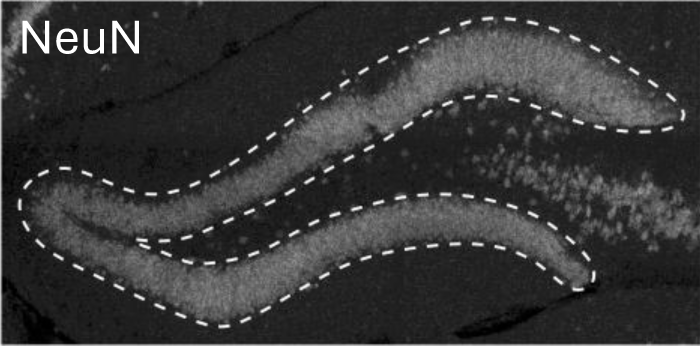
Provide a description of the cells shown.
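A curved band of tightly packed, small, evenly sized grey nuclei runs across the field in two blades that meet at one end, and the dashed line traces its borders. Between and beyond the blades lie fewer, more scattered and somewhat larger nuclei in a darker field. The dense outlined band is the granule cell layer.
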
